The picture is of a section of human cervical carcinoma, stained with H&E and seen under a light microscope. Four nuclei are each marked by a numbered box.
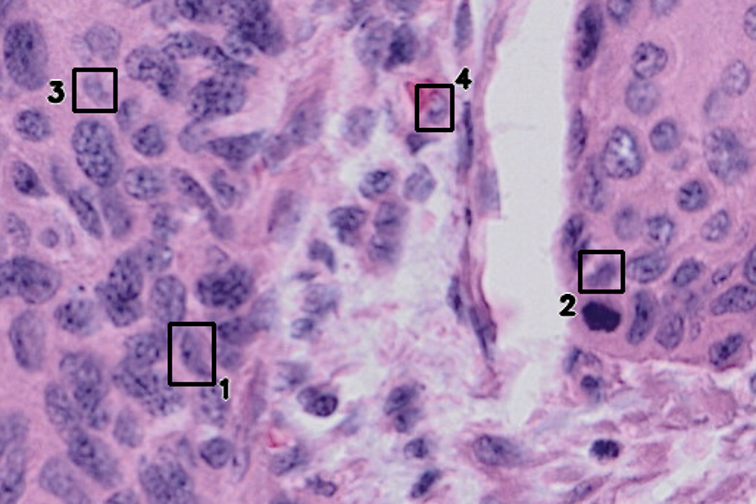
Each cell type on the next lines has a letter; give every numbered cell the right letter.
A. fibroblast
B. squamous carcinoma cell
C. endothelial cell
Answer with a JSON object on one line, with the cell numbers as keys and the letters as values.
{"1": "B", "2": "B", "3": "B", "4": "C"}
